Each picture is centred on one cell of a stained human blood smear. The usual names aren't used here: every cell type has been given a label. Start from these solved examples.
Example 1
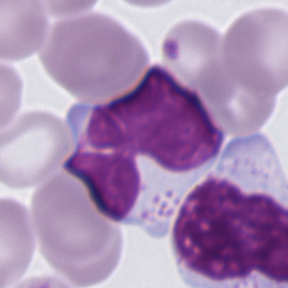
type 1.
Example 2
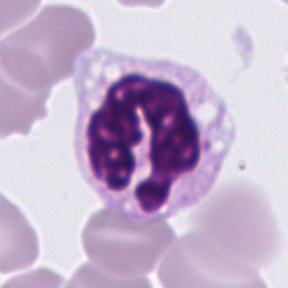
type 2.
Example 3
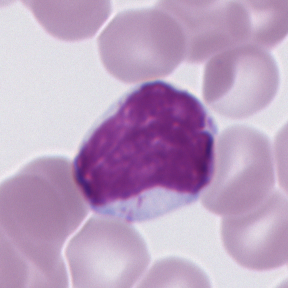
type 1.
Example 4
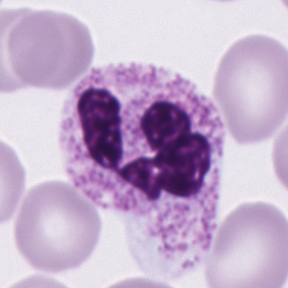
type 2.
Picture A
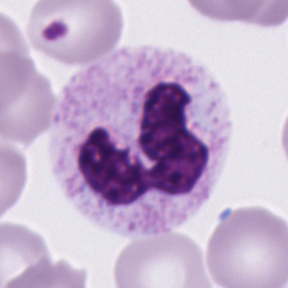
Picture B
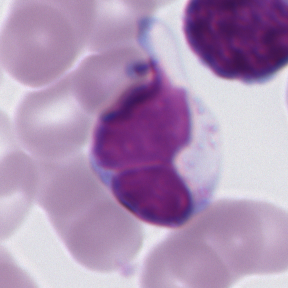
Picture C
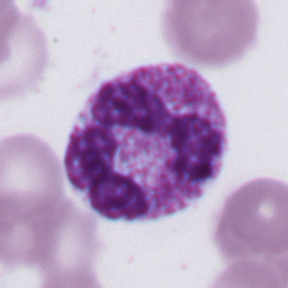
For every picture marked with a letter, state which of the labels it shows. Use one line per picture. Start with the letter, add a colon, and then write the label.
A: type 2.
B: type 1.
C: type 2.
